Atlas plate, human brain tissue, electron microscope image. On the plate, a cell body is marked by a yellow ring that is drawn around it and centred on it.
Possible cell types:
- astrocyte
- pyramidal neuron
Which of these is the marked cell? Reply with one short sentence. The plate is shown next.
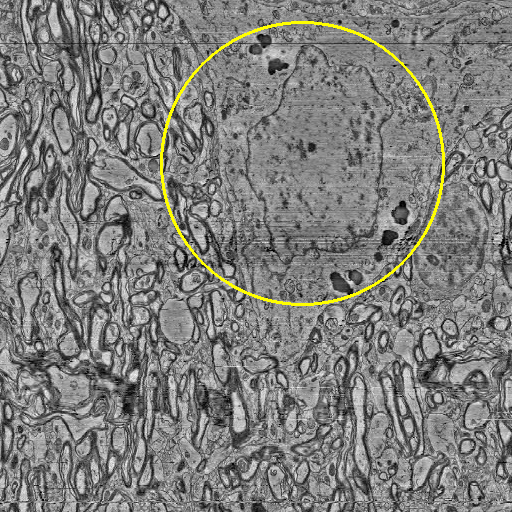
The marked cell is a pyramidal neuron.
